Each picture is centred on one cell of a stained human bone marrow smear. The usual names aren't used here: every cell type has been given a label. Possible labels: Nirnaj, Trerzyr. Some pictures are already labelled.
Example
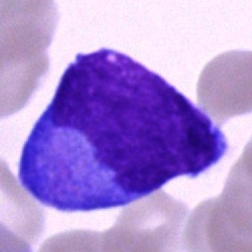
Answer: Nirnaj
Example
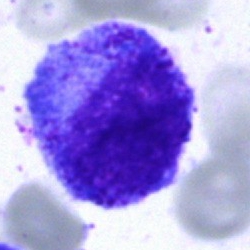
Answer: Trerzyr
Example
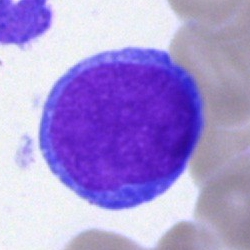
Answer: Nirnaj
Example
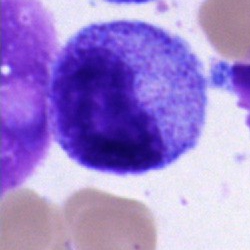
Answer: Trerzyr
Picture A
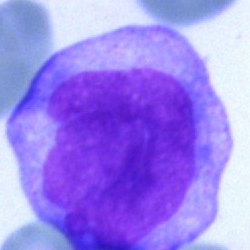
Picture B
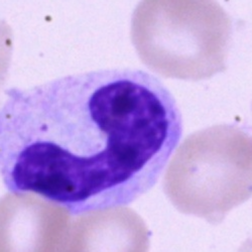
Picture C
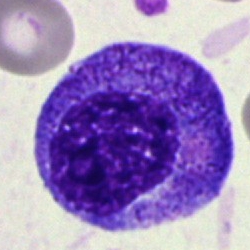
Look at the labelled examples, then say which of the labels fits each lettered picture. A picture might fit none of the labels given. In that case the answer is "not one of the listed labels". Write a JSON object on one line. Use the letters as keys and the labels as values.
{"A": "Nirnaj", "B": "not one of the listed labels", "C": "Trerzyr"}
